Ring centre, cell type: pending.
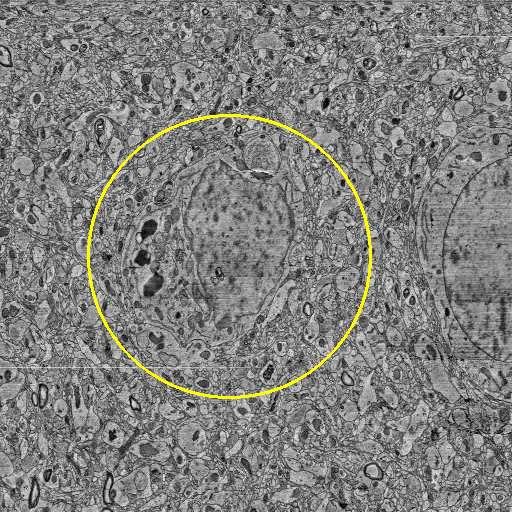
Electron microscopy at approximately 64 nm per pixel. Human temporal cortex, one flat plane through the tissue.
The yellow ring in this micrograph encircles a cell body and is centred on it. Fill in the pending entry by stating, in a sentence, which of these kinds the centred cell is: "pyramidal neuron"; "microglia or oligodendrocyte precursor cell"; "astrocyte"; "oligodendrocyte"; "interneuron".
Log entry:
The centred cell is recorded as an interneuron.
